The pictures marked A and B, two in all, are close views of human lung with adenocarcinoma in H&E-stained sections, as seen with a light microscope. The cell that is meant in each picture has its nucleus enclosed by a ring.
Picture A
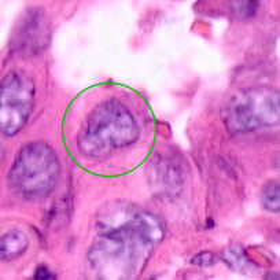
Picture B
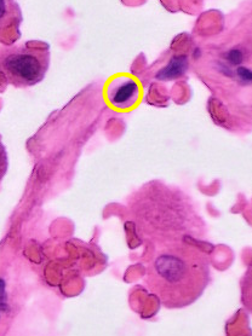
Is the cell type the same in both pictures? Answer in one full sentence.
No, picture A shows a carcinoma cell and picture B shows an endothelial cell.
